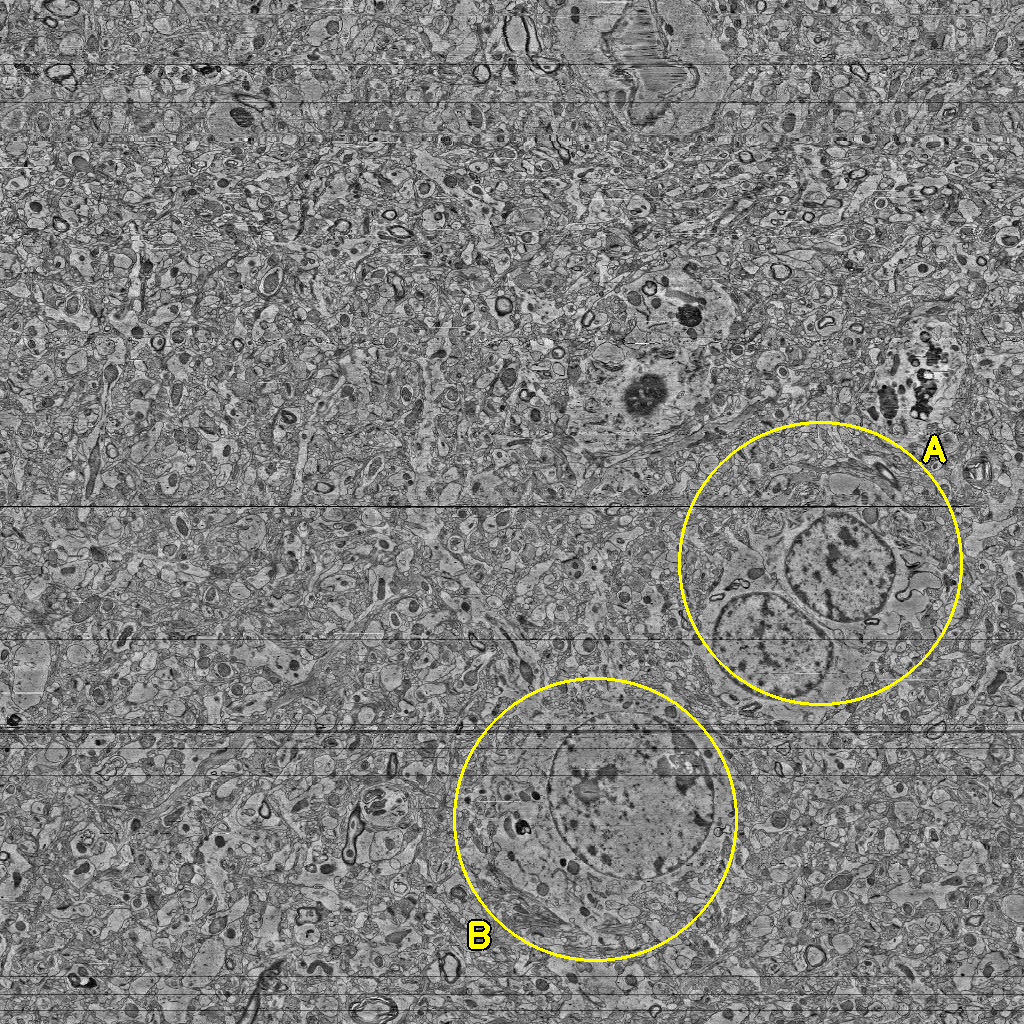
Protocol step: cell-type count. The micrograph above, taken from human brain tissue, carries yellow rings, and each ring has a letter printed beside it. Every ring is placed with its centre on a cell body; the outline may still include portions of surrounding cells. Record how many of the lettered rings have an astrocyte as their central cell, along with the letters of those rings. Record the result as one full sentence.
The two rings tagged with the letters A and B are each centred on an astrocyte.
